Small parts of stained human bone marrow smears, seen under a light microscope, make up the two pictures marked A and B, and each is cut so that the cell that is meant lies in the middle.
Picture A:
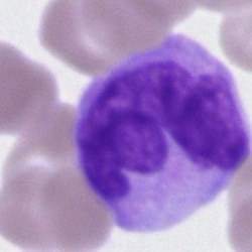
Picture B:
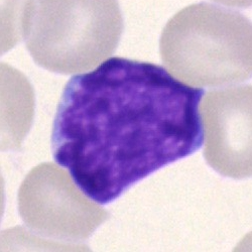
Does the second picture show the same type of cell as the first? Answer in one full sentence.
No; the cell in picture A is a monocyte, while the one in picture B is a blast.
